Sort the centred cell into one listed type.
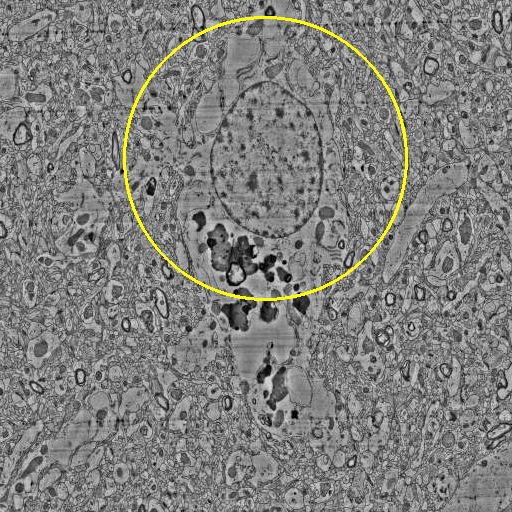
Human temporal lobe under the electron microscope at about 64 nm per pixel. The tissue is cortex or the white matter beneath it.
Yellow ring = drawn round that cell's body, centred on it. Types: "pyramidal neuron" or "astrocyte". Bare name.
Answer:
astrocyte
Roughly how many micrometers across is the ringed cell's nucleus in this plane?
In this plane the nucleus measures roughly 10 by 7 micrometres.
